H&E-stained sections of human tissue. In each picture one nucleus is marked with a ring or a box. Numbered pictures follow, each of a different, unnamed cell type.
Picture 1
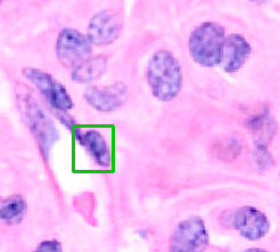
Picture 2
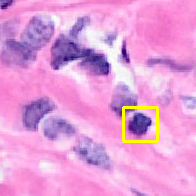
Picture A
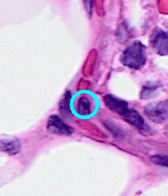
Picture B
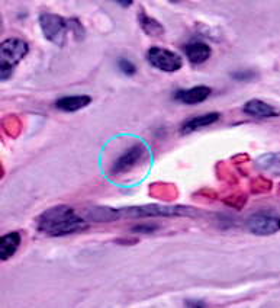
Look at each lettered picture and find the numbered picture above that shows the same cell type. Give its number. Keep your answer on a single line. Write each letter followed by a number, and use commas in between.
A 1, B 1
